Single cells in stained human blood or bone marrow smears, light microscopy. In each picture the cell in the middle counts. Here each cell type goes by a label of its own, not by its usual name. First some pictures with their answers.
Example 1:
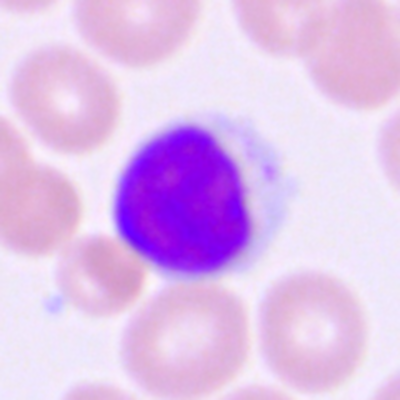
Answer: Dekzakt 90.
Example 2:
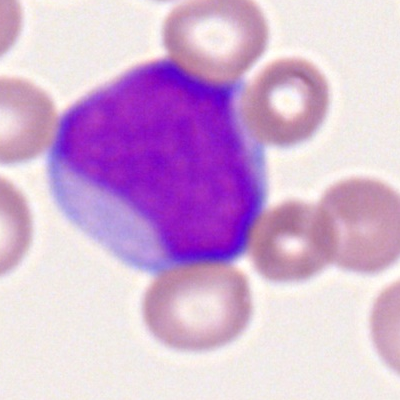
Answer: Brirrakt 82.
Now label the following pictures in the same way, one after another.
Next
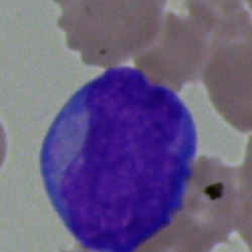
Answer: Brirrakt 82.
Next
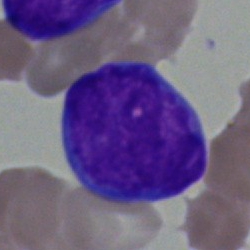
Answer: Brirrakt 82.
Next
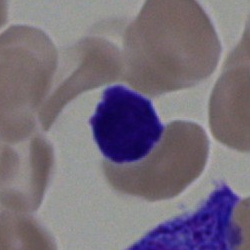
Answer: Dekzakt 90.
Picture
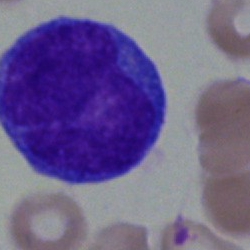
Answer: Brirrakt 82.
